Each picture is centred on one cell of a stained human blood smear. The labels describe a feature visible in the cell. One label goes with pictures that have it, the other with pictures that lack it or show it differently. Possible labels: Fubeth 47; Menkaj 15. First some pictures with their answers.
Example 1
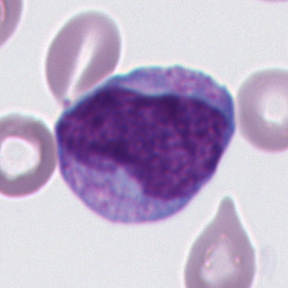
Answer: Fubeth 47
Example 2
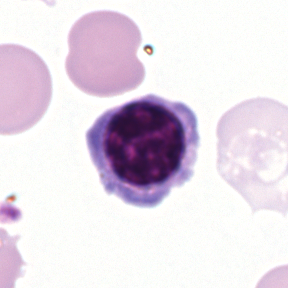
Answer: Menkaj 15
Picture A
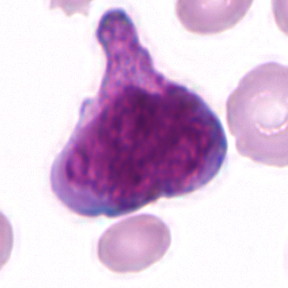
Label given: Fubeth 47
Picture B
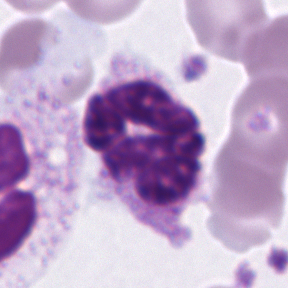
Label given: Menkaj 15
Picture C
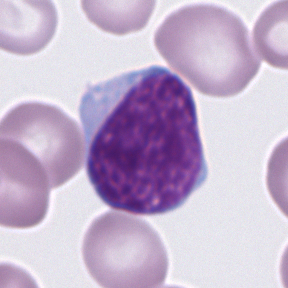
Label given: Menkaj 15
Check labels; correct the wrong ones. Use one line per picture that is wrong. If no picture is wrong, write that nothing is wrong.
Wrong: A (Fubeth 47); correct: Menkaj 15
